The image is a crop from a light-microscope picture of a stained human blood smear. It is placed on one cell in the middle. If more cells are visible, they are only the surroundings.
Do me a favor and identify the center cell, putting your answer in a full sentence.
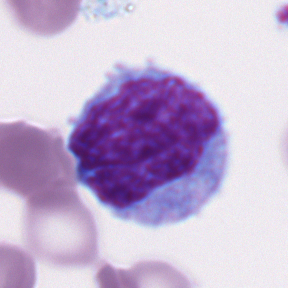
The cell under consideration, at the middle of the crop, is a monocyte.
